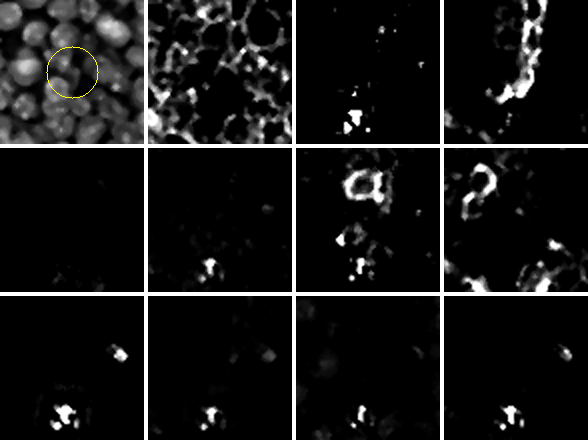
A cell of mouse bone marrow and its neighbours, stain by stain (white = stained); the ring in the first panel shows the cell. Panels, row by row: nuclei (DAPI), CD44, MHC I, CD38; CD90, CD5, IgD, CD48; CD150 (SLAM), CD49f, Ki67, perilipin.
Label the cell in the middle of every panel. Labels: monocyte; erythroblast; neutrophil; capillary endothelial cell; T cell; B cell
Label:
capillary endothelial cell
